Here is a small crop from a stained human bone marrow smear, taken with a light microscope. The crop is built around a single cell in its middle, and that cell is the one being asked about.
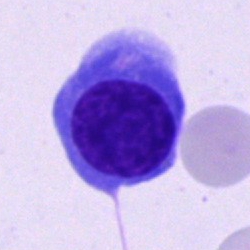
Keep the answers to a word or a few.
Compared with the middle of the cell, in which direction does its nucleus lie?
bottom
